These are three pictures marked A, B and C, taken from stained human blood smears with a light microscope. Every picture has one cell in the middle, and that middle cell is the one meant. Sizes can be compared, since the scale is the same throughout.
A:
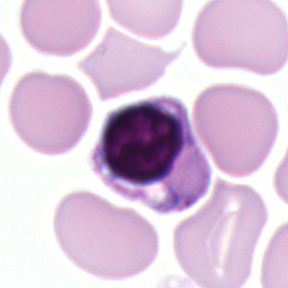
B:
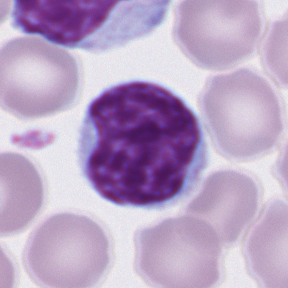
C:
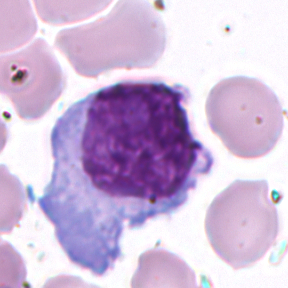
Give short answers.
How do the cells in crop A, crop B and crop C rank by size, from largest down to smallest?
C, B, A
